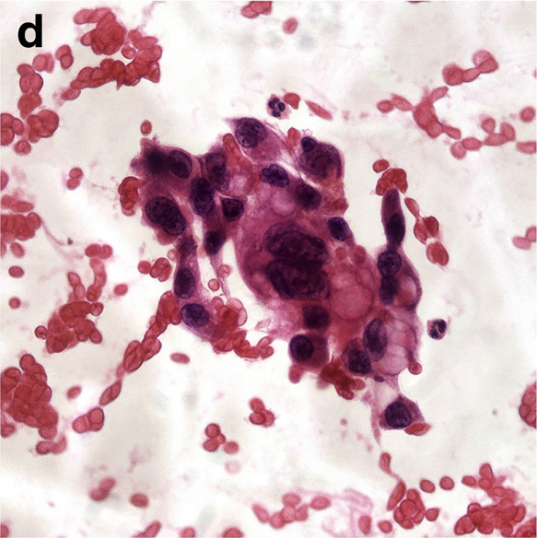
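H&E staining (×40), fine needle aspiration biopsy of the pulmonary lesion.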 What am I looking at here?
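Aspirate smear with a cohesive cluster of large atypical tumor cells on a background of abundant red blood cells. The cells have enlarged, dark purple, irregular nuclei with coarse chromatin and a high nuclear to cytoplasmic ratio; one cell in the centre has a very large, lobulated nucleus. Several cells at the edge are elongated. Cytoplasm is pale pink to purple, and part of the cluster shows pale vacuolated cytoplasm. Scattered single small dark cells lie among the red cells.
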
